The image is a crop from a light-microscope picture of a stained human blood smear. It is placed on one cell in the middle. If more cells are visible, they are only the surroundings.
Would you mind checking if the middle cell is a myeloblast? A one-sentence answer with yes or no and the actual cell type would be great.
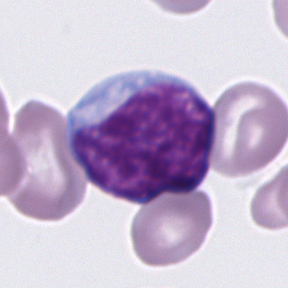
Yes, within this crop, the central cell is a myeloblast.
